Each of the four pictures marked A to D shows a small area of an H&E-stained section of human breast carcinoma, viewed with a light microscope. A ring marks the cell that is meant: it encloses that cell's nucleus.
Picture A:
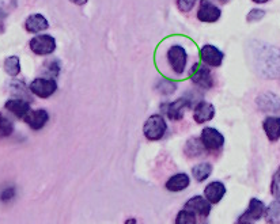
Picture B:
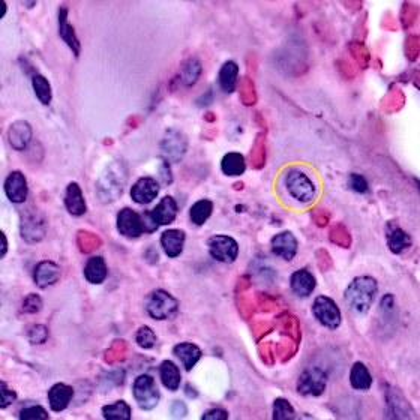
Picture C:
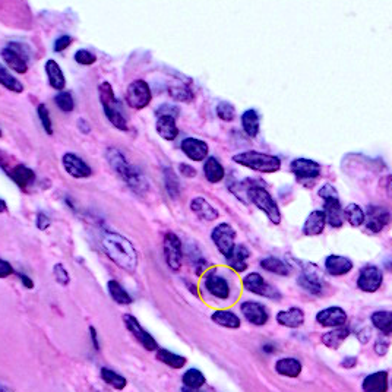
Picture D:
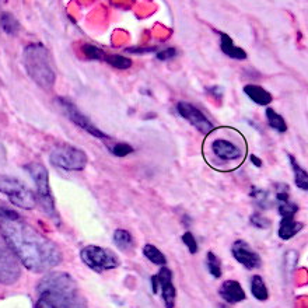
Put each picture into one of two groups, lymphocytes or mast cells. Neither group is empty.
A: lymphocyte
B: mast cell
C: lymphocyte
D: mast cell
